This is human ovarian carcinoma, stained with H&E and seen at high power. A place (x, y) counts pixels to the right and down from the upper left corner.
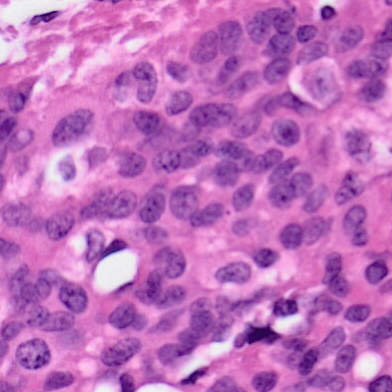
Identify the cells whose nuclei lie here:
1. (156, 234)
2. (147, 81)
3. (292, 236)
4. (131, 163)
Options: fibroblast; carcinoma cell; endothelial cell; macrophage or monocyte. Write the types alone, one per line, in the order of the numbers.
carcinoma cell
macrophage or monocyte
carcinoma cell
carcinoma cell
